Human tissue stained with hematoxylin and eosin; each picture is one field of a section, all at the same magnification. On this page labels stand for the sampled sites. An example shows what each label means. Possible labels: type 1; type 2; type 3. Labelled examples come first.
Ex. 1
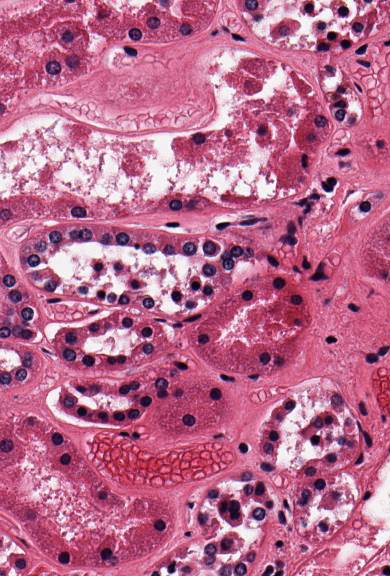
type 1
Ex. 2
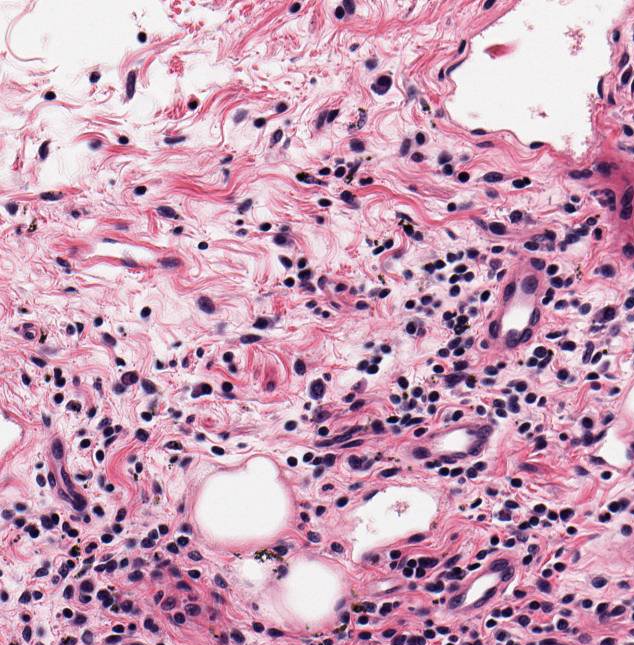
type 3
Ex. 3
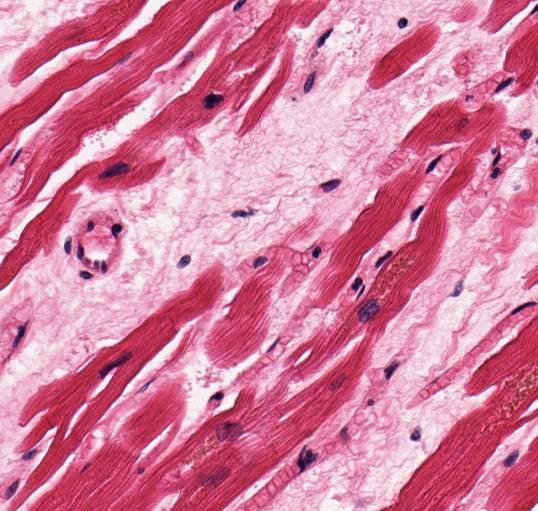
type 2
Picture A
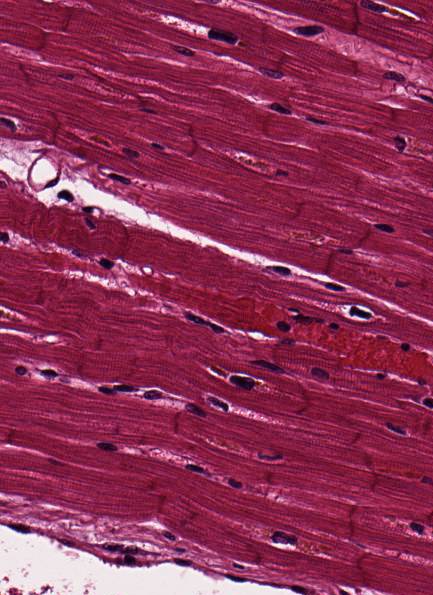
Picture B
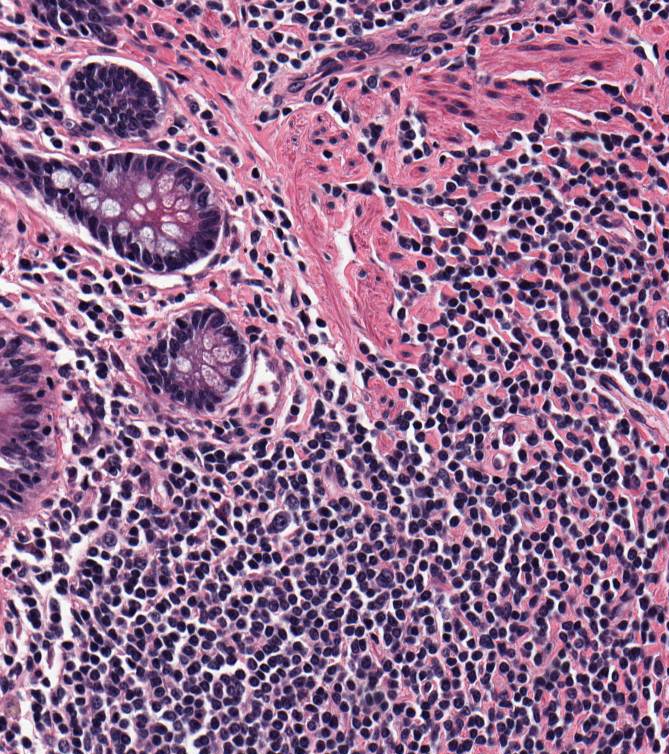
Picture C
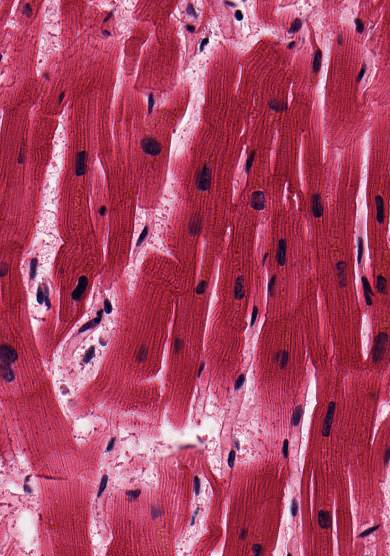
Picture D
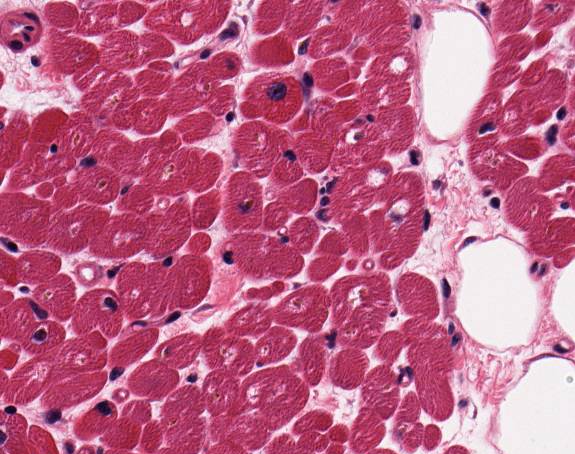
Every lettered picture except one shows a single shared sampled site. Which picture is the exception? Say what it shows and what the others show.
Picture B: type 3. All others: type 2.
